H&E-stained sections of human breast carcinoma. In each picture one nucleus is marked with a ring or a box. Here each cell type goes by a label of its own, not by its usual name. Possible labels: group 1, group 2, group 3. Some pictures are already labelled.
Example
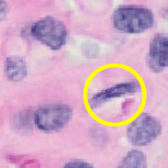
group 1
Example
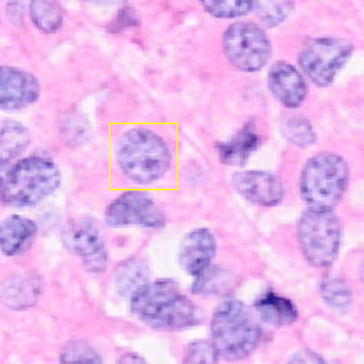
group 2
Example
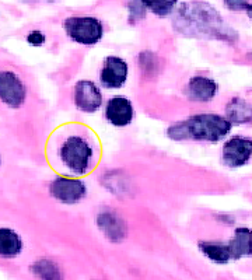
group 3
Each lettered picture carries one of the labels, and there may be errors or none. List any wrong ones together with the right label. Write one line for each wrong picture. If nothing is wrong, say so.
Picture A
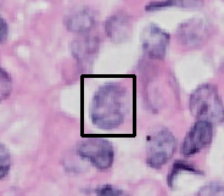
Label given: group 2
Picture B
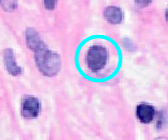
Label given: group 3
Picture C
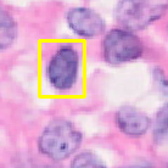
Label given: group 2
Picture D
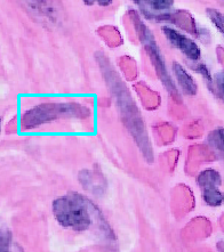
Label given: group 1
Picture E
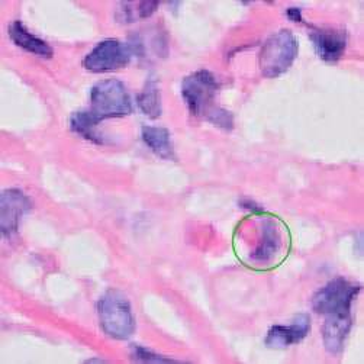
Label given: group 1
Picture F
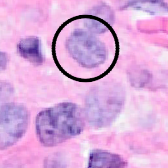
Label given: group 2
All labels are correct.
